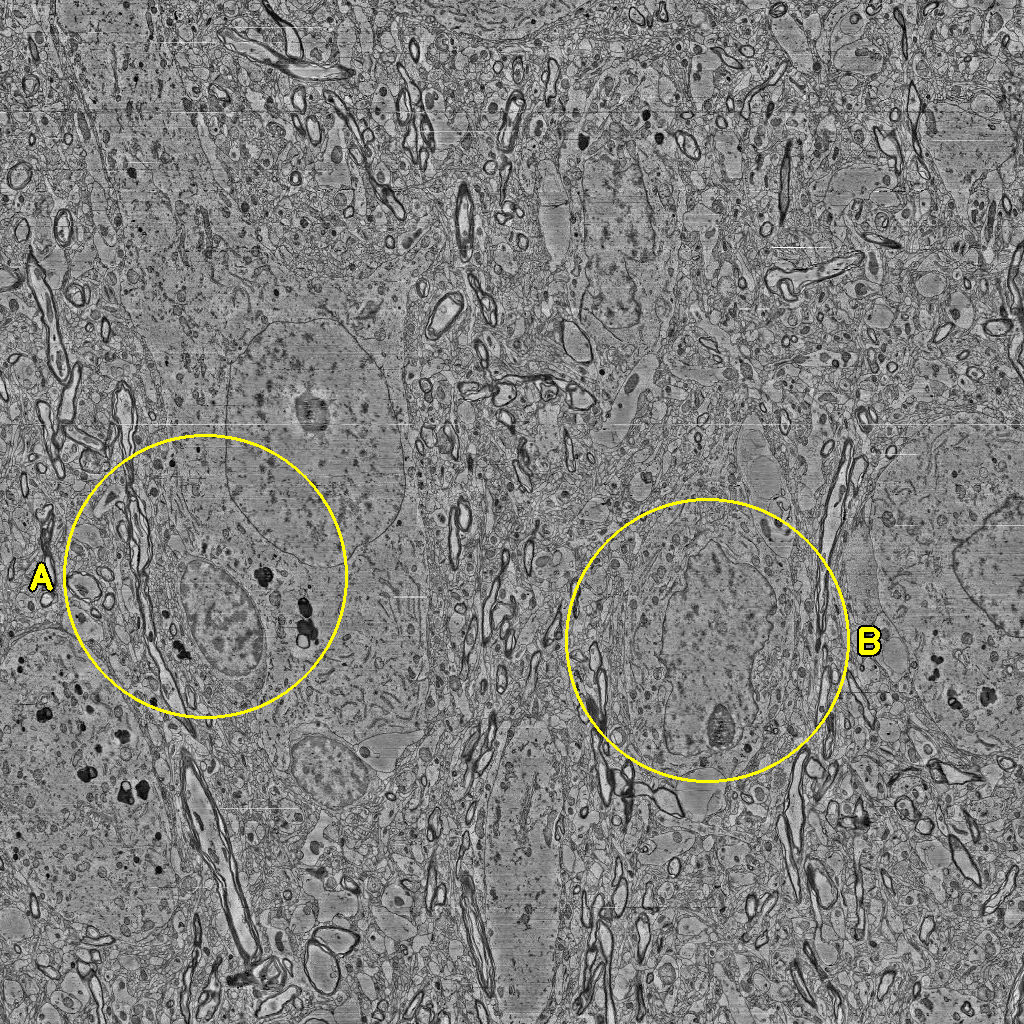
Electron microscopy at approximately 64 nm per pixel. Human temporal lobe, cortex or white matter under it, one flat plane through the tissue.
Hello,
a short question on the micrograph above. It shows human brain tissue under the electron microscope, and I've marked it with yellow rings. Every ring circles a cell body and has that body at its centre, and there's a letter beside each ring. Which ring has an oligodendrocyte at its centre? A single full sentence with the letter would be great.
The cell you asked about sits at the centre of ring A.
